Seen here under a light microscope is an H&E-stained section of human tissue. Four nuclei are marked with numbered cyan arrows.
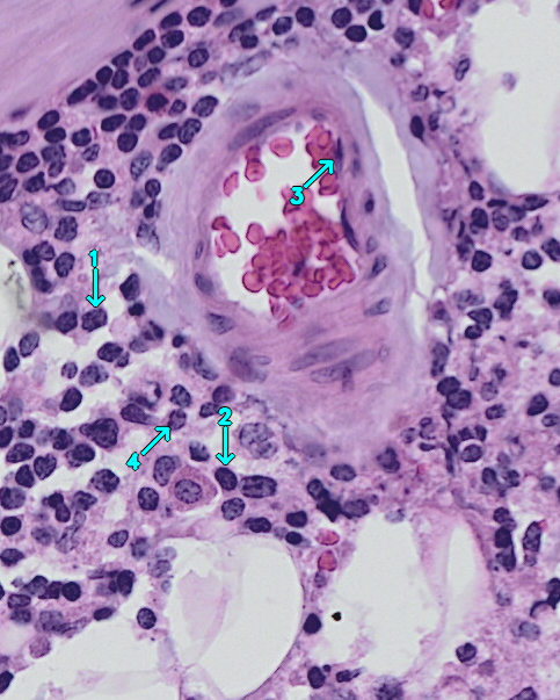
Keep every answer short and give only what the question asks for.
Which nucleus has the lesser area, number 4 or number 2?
4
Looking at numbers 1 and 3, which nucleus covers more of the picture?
1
